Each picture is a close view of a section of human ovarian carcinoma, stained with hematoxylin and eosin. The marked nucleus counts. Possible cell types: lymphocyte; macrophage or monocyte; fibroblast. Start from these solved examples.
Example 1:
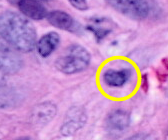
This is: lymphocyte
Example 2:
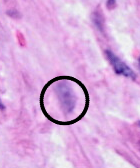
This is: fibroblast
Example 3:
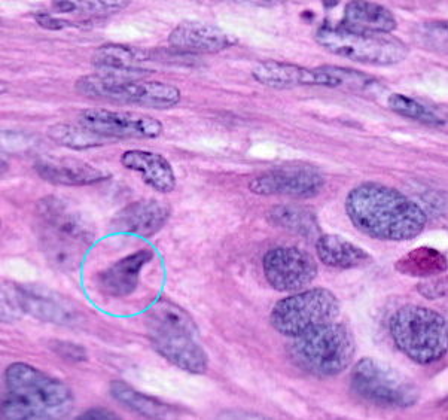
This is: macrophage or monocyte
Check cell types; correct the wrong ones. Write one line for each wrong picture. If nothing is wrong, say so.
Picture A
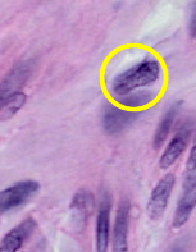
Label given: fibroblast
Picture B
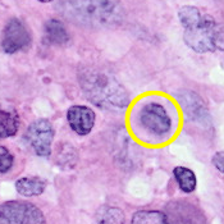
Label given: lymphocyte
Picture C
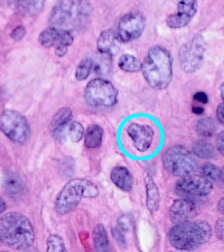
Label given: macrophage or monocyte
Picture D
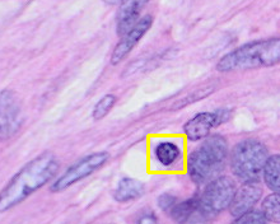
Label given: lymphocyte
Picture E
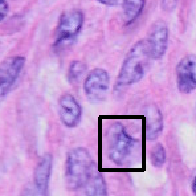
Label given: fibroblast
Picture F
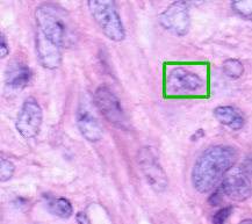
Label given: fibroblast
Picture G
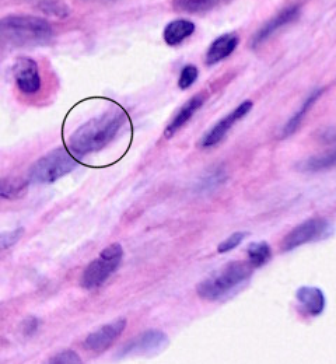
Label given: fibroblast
Every label is right.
